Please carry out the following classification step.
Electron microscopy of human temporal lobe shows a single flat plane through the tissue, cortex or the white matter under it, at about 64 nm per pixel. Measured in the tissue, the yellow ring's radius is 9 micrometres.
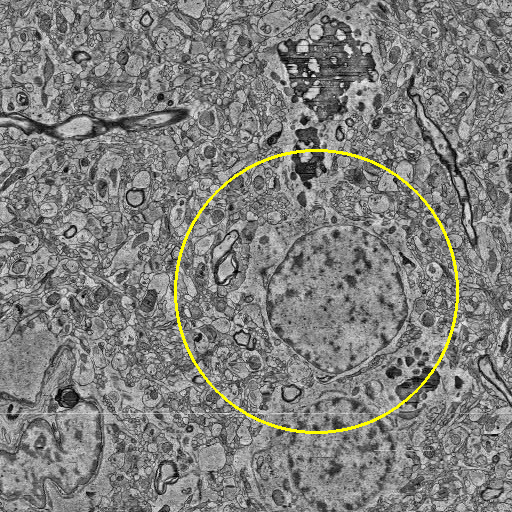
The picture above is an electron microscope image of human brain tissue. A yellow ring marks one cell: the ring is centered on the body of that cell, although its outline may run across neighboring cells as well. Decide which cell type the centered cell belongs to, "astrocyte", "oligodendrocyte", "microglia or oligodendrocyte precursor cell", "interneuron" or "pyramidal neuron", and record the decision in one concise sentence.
The cell centered in the yellow ring is an astrocyte.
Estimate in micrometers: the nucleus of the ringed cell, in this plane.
The nucleus of the ringed cell is approximately 11 by 9 micrometres in this plane.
